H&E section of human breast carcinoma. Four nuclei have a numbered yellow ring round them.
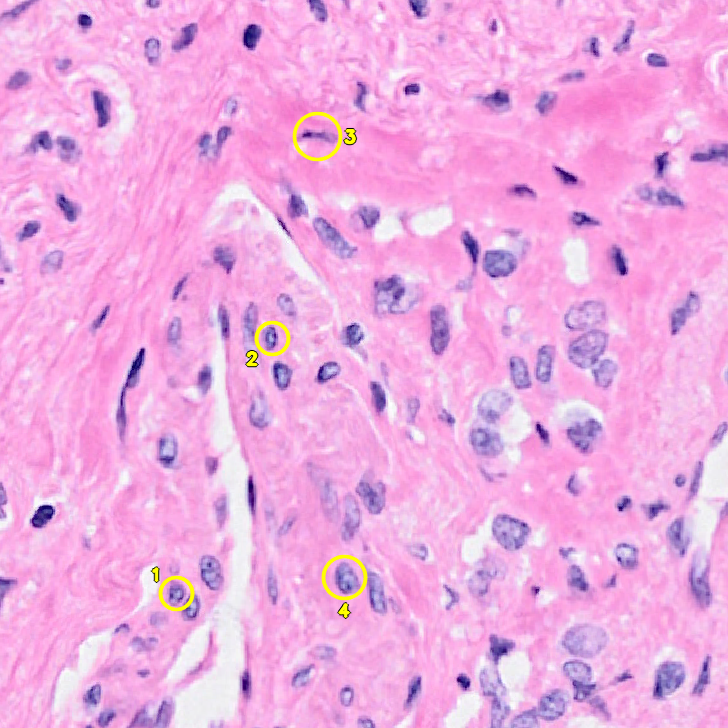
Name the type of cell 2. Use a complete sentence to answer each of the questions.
Looking at the numbered marks, cell 2 is an endothelial cell.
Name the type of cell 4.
The cell numbered 4 has been identified as an endothelial cell.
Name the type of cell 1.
It is as an endothelial cell that the cell numbered 1 is identified.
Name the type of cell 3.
Cell 3 should be recorded as a fibroblast.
